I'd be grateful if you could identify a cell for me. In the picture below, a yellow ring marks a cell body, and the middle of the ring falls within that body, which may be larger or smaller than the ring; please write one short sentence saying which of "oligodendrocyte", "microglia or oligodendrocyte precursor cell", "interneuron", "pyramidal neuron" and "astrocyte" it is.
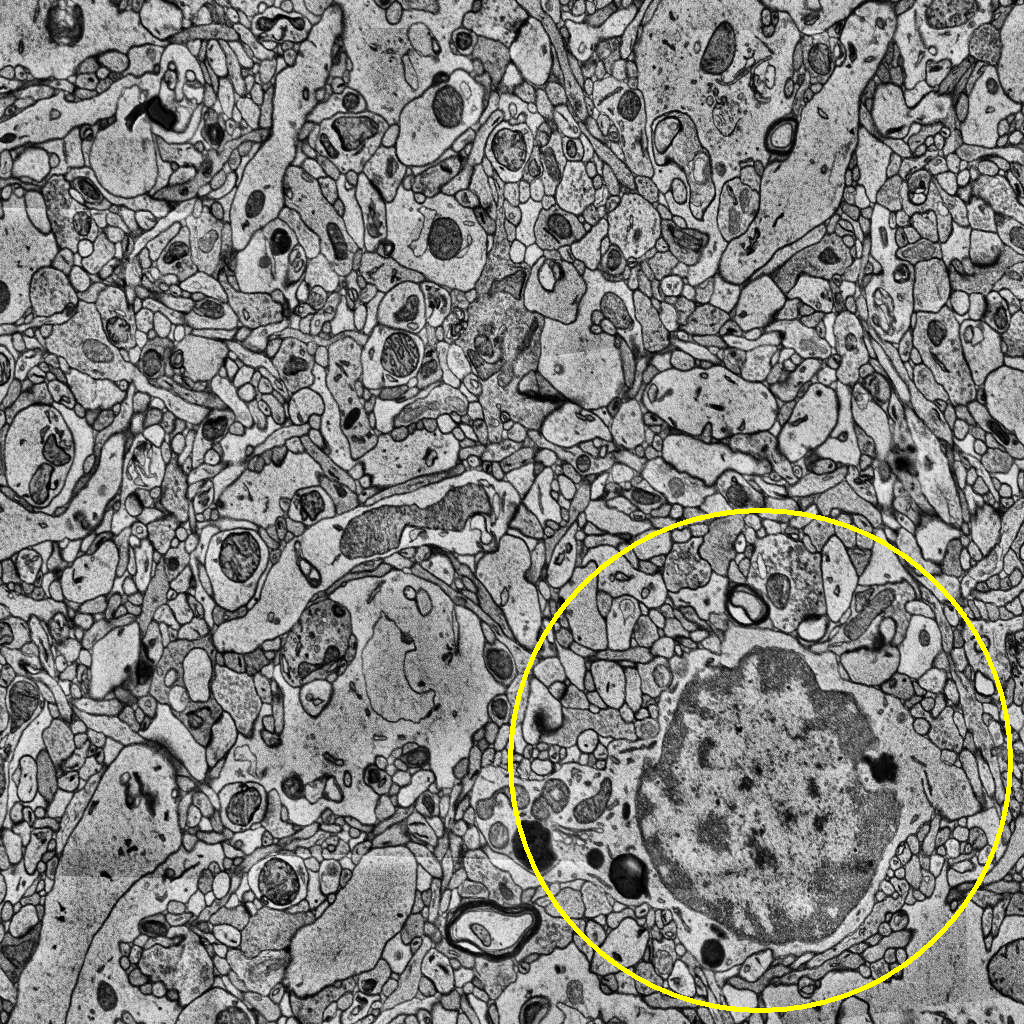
The cell under the ring's centre is a microglial cell or oligodendrocyte precursor cell.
